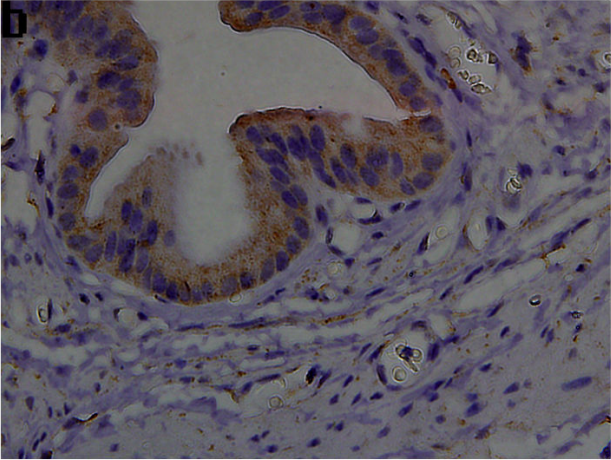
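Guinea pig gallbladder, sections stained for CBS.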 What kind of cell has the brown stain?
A: Mucosal epithelial cells.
